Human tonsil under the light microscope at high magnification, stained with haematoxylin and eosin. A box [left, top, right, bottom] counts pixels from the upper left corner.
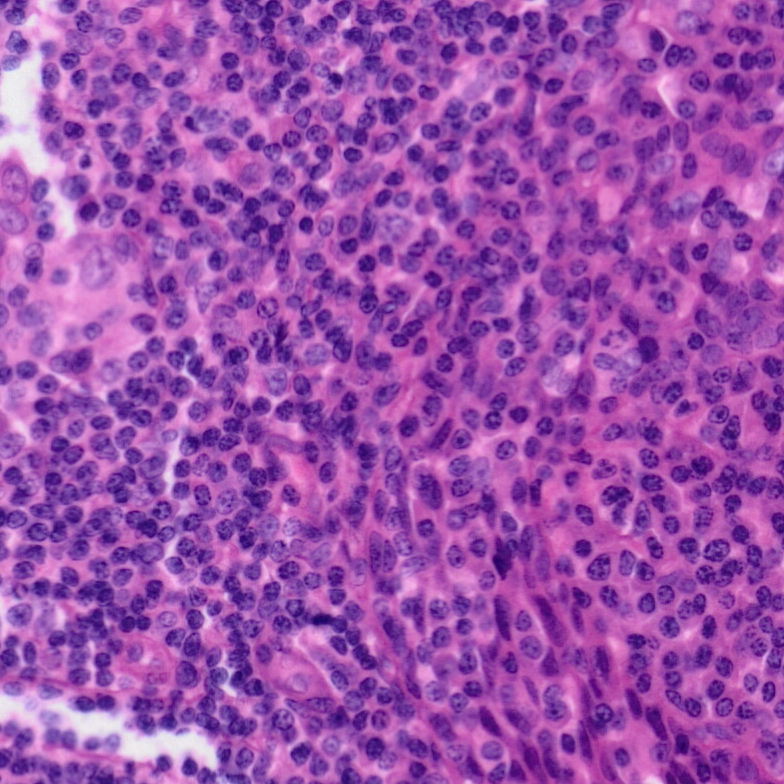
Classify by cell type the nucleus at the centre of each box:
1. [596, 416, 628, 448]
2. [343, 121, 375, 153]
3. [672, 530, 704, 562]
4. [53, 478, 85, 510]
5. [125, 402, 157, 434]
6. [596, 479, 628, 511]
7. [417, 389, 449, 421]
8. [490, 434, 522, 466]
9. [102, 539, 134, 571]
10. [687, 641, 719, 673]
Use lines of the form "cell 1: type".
cell 1: plasma cell
cell 2: small lymphocyte
cell 3: plasma cell
cell 4: small lymphocyte
cell 5: small lymphocyte
cell 6: plasma cell
cell 7: plasma cell
cell 8: plasma cell
cell 9: small lymphocyte
cell 10: plasma cell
